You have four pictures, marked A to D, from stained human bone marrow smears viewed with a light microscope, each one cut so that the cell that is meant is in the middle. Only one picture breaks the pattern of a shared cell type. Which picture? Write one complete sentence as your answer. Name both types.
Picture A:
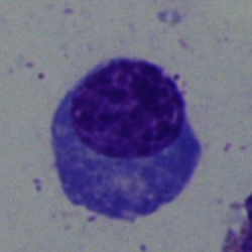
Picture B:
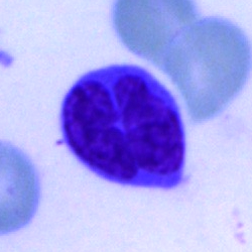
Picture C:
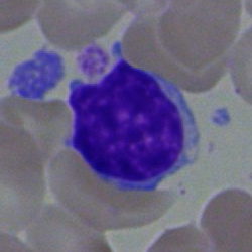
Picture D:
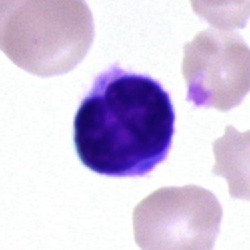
The others show lymphocytes, but picture A shows a plasma cell.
